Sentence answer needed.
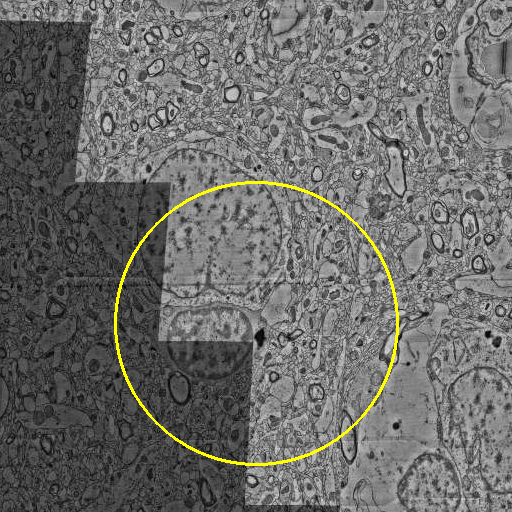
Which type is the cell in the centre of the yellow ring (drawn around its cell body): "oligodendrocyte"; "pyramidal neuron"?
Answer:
In the centre of the yellow ring is an oligodendrocyte.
